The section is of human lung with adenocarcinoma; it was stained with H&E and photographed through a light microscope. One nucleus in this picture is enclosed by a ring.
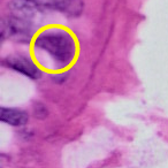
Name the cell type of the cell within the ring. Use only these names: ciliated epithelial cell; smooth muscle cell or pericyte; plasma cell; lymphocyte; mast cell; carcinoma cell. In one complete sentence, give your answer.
What the cell within the ring represents is a ciliated epithelial cell.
